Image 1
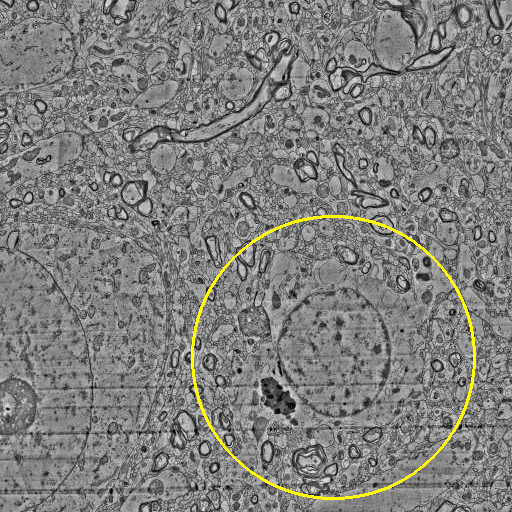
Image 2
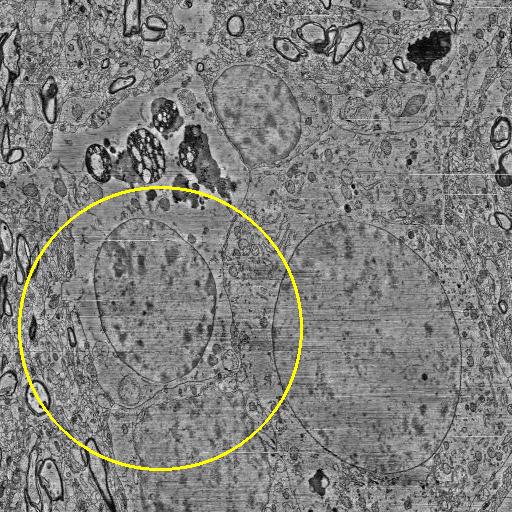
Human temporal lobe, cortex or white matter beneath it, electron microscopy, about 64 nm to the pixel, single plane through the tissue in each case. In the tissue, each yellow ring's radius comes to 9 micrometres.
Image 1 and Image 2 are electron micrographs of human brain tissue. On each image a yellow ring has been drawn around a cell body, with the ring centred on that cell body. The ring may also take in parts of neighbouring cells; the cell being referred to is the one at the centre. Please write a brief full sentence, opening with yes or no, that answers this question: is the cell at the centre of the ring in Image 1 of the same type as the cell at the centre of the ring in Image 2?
Yes, both cells are of the same type.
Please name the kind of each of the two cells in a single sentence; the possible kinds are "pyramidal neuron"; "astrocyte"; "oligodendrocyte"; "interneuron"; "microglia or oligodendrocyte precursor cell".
In both pictures the ring is centred on an astrocyte.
